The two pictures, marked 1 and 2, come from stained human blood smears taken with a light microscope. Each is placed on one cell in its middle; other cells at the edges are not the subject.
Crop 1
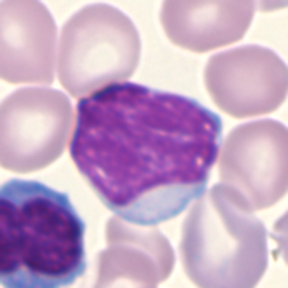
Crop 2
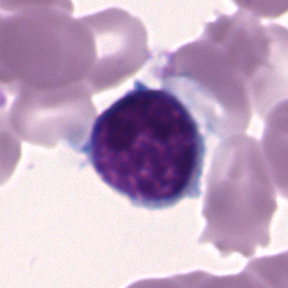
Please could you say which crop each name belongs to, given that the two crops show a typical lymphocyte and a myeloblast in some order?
1: myeloblast
2: typical lymphocyte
